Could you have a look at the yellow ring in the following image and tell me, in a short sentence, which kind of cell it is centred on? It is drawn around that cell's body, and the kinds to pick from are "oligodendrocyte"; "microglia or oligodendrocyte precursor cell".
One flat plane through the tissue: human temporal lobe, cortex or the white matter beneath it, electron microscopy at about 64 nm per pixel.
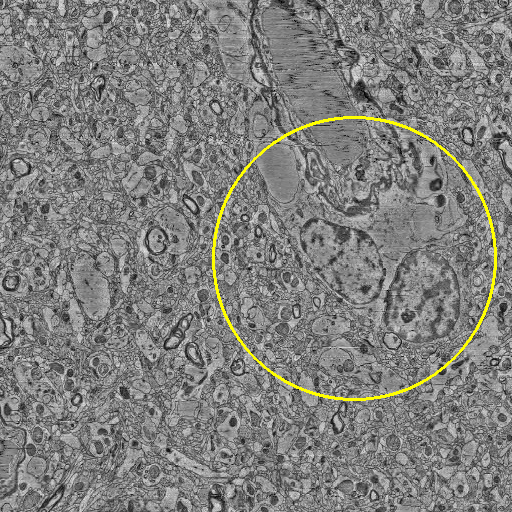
The ring is centred on the body of a microglial cell or oligodendrocyte precursor cell.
